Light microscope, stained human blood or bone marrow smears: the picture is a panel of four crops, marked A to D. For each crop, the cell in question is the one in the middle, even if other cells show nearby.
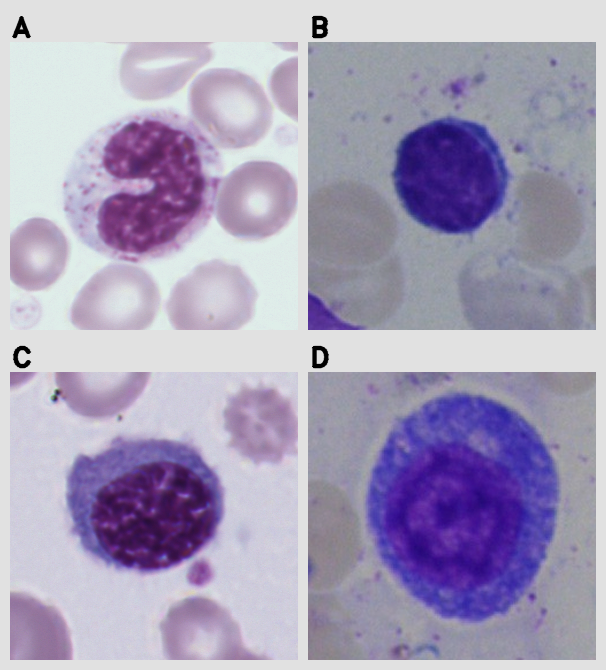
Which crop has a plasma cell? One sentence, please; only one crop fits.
Crop C is where a plasma cell is to be found.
